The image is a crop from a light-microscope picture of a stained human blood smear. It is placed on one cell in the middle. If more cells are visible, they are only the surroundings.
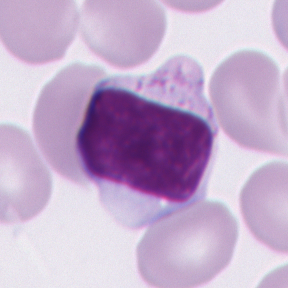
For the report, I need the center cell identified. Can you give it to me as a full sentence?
The cell positioned in the middle of the field is a large granular lymphocyte.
